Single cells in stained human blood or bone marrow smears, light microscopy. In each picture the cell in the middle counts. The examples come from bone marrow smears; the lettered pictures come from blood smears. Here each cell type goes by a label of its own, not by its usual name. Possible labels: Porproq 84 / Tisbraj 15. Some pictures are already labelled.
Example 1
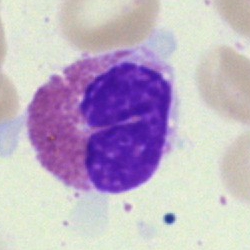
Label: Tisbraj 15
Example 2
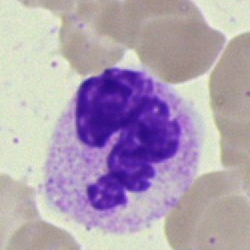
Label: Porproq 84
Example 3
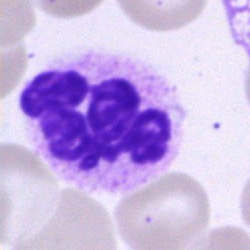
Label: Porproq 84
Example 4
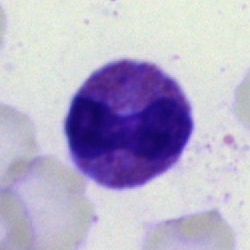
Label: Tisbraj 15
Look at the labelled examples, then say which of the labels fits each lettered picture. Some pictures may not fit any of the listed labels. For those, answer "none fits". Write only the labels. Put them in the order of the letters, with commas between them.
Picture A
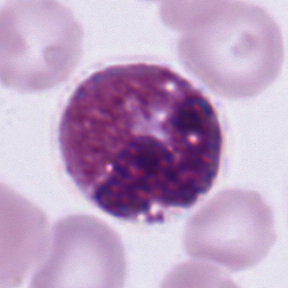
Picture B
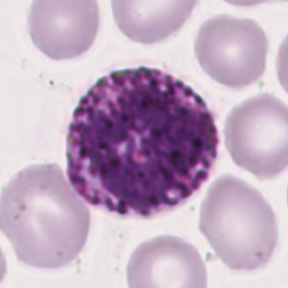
Tisbraj 15, none fits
